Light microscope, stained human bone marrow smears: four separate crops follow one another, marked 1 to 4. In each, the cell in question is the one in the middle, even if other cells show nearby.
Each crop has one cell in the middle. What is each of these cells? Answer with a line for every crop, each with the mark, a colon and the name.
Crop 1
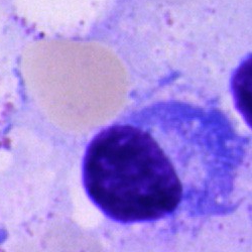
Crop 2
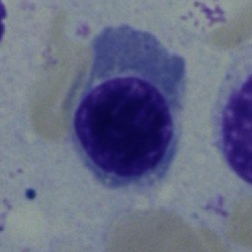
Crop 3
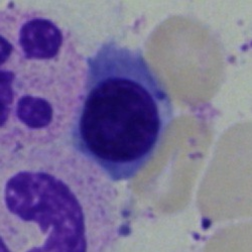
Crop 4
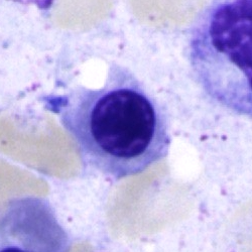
1: plasma cell
2: erythroblast
3: erythroblast
4: erythroblast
